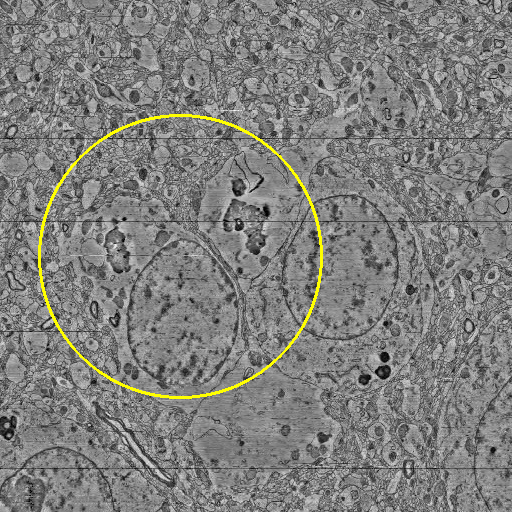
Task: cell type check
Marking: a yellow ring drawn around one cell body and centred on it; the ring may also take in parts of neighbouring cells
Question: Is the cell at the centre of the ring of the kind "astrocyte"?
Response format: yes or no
yes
